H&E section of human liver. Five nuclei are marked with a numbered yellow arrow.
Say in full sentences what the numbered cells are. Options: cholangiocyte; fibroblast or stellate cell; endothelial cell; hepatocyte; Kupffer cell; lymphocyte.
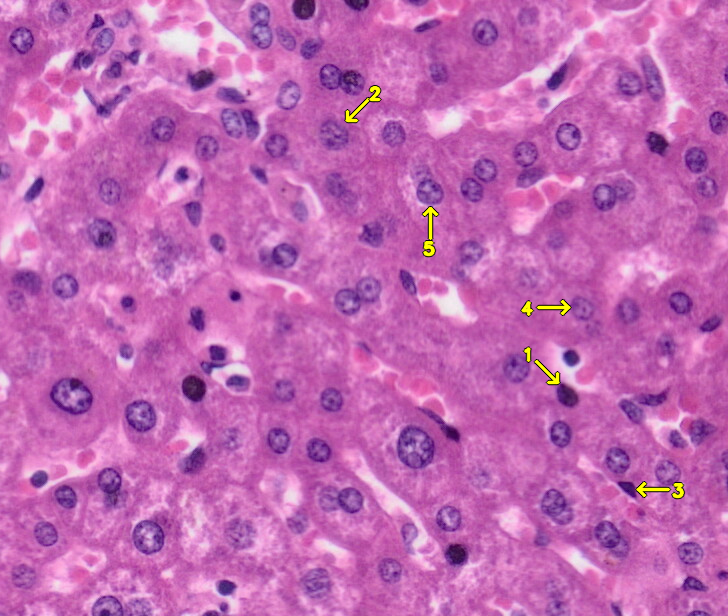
Cell 1 is a fibroblast or stellate cell, cell 2 is a hepatocyte, cell 3 is a fibroblast or stellate cell, cell 4 is a hepatocyte and cell 5 is a hepatocyte.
